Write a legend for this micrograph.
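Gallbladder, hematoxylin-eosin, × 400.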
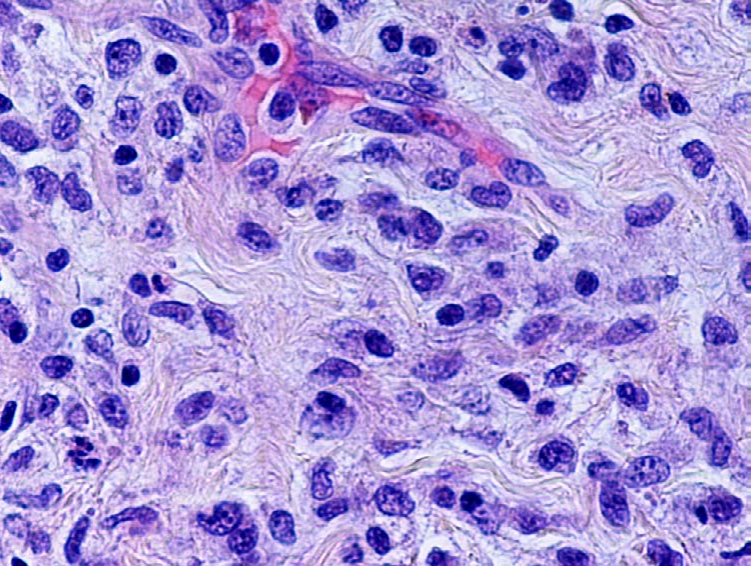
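The cytoplasm is pale and ill-defined, so the cells seem to blend into the surrounding stroma. Near the top a small vessel containing bright red blood cells runs through the infiltrate, and a few smaller, darker round nuclei are mixed among the tumour cells.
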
